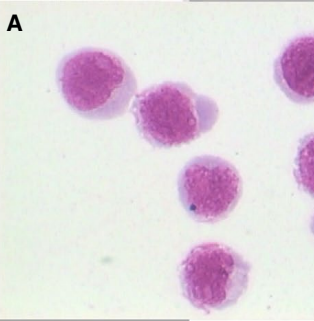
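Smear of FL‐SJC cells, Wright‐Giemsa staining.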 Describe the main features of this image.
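The cells are round and of fairly uniform medium size. Each has a large round to slightly irregular nucleus stained purple-magenta, with finely granular chromatin. The nucleus fills most of the cell, leaving only a thin rim of pale bluish-grey cytoplasm, which in some cells bulges out to one side. The high ratio of nucleus to cytoplasm is evident in every cell.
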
